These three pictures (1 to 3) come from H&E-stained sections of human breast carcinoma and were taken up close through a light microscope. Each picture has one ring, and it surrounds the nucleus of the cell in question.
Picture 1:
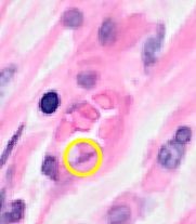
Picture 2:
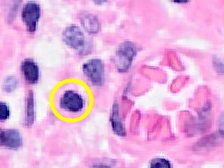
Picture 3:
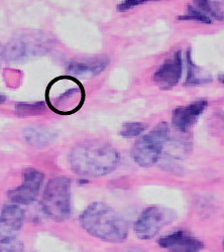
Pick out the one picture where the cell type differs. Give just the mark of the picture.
2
